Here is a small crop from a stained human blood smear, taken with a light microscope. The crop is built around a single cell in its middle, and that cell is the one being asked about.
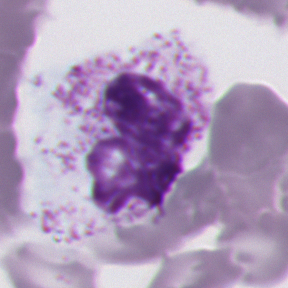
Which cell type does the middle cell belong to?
segmented neutrophil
